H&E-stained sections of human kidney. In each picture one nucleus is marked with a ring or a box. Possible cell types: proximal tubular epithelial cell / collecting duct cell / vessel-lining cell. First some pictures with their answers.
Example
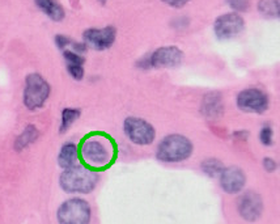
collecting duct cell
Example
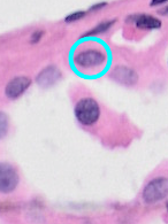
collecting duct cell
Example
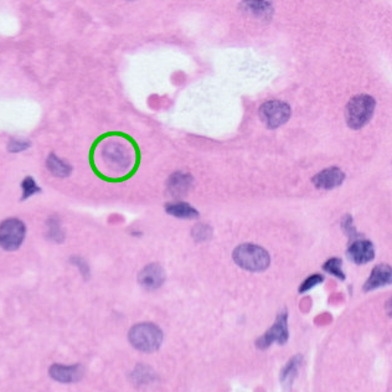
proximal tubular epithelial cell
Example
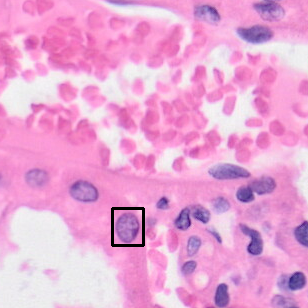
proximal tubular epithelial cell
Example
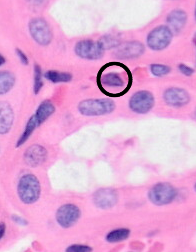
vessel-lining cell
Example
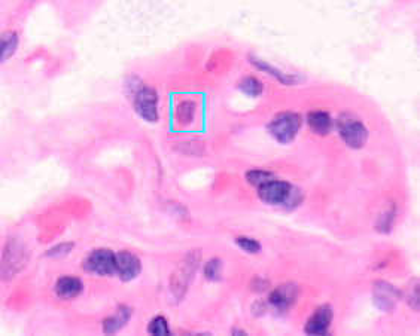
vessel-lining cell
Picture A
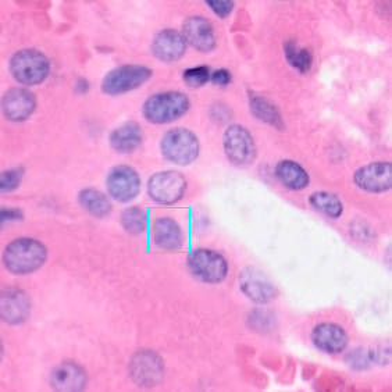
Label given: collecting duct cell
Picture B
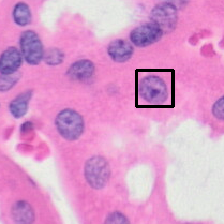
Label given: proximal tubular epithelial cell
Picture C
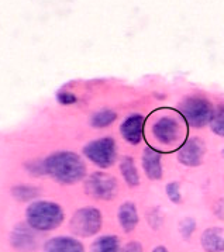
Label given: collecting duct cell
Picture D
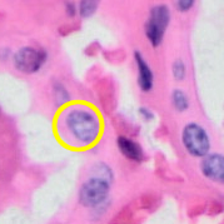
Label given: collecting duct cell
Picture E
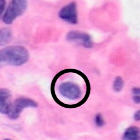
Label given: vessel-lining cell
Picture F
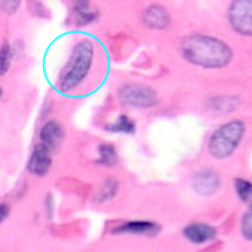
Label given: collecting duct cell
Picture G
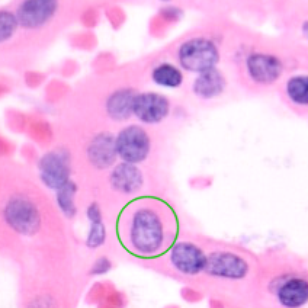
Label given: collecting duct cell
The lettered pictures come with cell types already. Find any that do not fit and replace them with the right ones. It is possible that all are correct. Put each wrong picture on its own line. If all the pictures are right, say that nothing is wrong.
No label is wrong.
